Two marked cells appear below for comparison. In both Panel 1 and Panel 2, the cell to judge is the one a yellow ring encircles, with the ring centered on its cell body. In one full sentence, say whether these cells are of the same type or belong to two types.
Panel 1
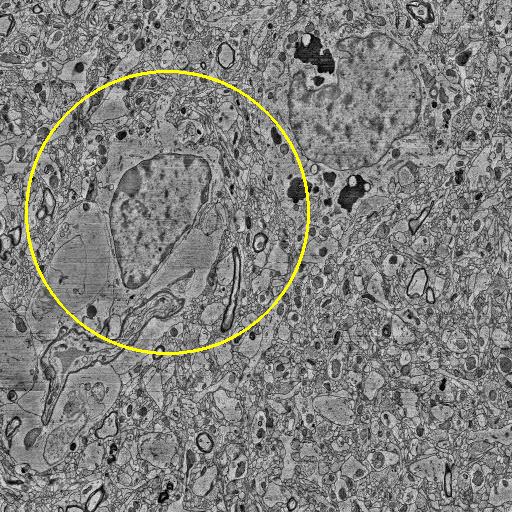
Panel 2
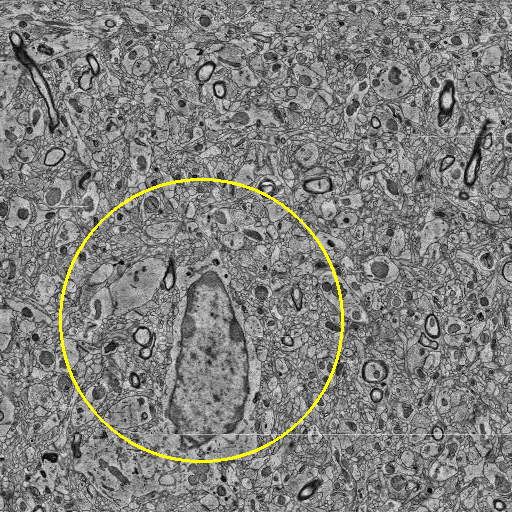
The cell centered in the Panel 1 ring and the one in Panel 2 are of the same type.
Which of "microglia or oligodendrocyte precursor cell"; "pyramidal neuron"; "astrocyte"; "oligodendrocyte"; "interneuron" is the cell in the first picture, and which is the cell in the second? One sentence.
Both rings mark a microglial cell or oligodendrocyte precursor cell, one in each picture.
